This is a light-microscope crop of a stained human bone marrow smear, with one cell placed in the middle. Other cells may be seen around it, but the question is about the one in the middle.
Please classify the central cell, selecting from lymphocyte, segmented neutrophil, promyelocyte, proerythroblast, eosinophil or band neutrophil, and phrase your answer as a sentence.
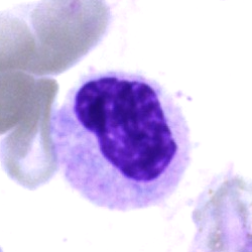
Present in the middle of the crop is a band neutrophil.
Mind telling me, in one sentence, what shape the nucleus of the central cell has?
The nucleus amounts to one compact mass with a round, oval or kidney-shaped outline.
